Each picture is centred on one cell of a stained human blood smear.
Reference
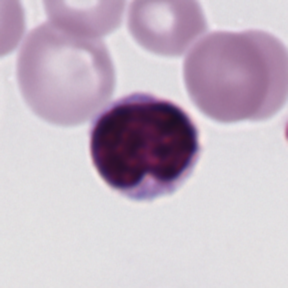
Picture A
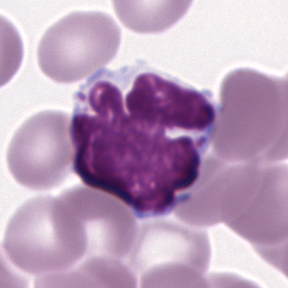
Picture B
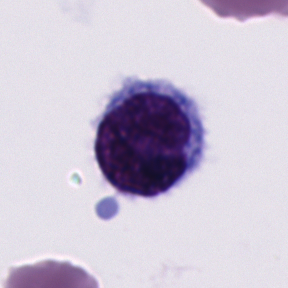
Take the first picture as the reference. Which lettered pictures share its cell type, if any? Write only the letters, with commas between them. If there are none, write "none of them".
A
